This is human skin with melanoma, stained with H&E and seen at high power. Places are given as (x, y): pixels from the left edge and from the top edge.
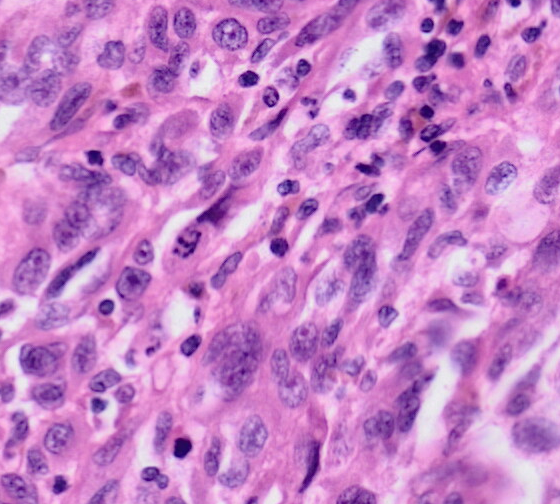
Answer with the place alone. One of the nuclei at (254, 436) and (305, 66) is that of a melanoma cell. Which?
(254, 436)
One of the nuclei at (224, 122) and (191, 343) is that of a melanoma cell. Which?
(224, 122)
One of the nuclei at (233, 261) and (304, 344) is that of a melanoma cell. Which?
(304, 344)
